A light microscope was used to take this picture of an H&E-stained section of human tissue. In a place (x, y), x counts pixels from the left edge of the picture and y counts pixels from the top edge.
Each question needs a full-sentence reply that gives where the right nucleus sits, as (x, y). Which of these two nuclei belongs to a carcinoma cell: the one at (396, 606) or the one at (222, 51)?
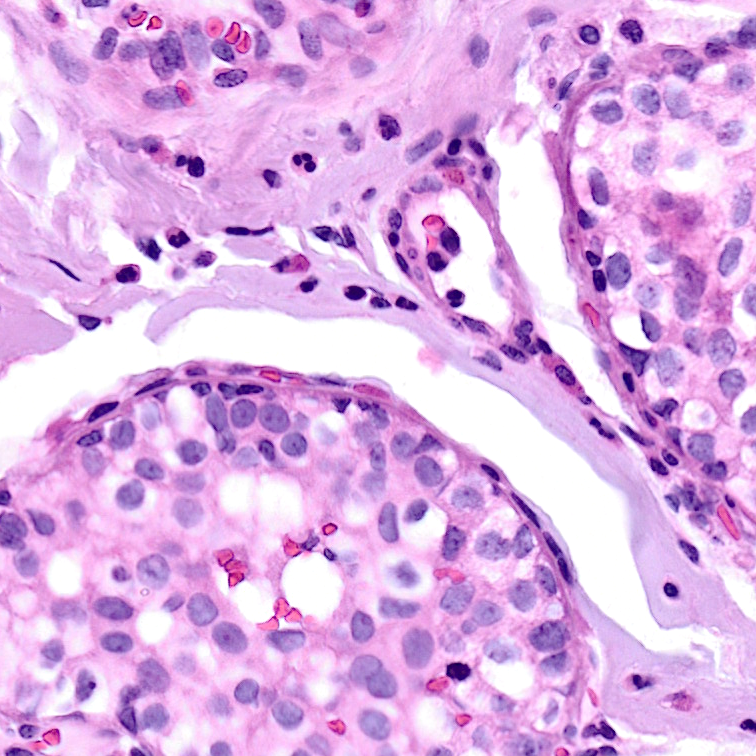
The nucleus at (396, 606) is the member of the pair belonging to a carcinoma cell.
